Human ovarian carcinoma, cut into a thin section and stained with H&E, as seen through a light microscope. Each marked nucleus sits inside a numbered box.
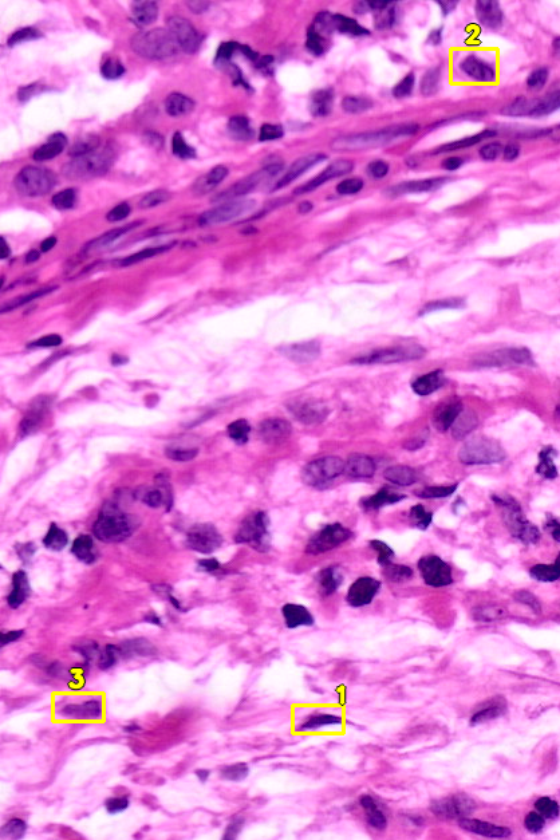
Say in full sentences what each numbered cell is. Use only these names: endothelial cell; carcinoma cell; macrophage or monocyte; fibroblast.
Cell 1 is a fibroblast, cell 2 is a macrophage or monocyte and cell 3 is a fibroblast.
